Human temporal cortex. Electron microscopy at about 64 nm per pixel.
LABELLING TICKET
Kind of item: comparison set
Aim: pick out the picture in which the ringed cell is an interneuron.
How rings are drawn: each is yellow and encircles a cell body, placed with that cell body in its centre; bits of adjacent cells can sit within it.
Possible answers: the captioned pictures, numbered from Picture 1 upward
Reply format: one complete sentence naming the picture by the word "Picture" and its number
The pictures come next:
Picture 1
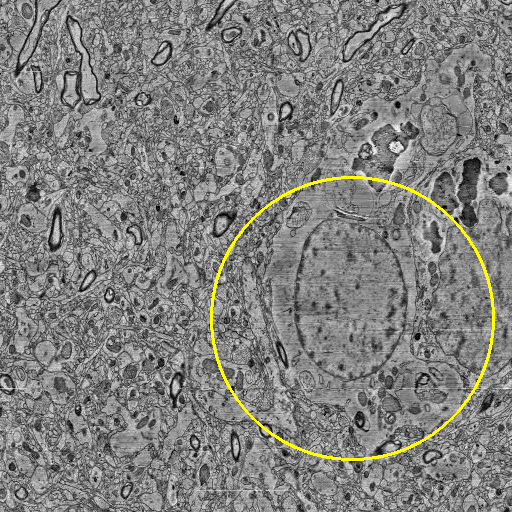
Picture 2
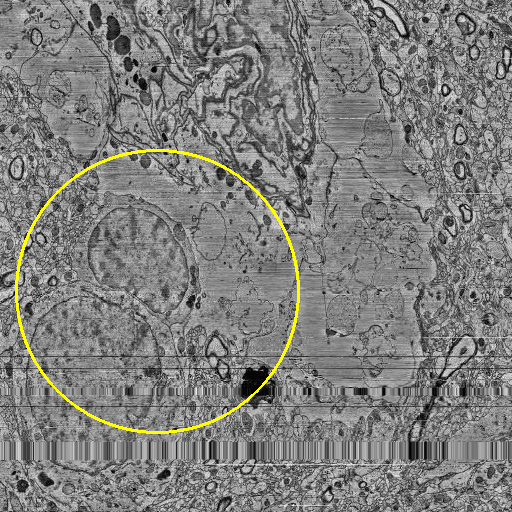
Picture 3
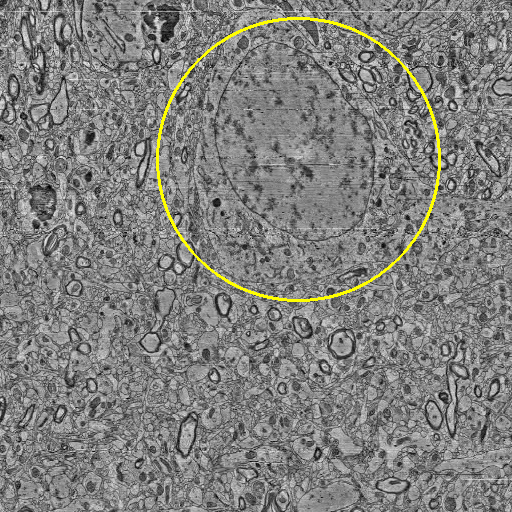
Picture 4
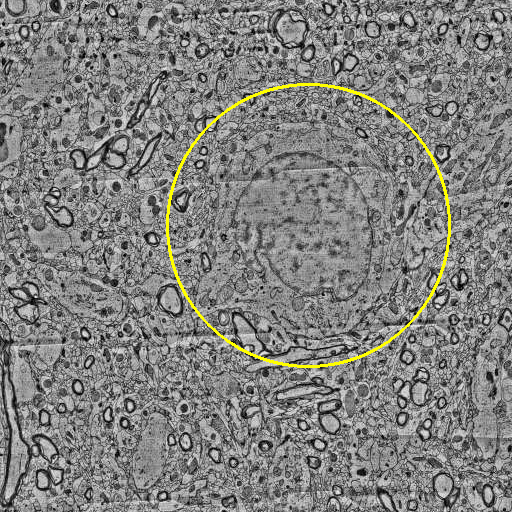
The cell centred inside the yellow ring in Picture 4 is the requested one.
